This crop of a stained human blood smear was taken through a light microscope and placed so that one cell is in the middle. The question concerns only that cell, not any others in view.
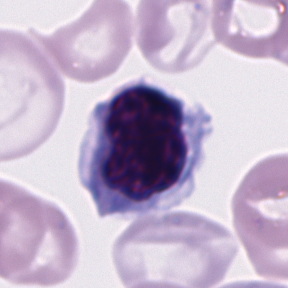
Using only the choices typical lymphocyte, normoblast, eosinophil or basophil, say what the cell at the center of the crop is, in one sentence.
As for the central cell, it is a normoblast.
